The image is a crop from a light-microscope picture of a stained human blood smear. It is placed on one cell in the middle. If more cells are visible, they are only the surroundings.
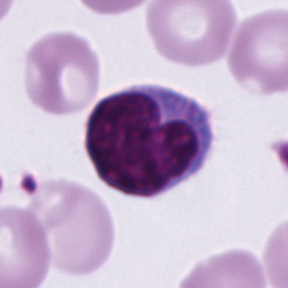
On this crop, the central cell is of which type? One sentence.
This particular crop is centered on a large granular lymphocyte.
